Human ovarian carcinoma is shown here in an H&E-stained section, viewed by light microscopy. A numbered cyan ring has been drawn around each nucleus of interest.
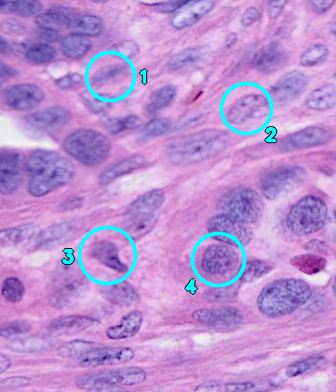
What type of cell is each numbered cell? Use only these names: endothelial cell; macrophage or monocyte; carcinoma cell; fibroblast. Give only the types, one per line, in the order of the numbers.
fibroblast
fibroblast
macrophage or monocyte
carcinoma cell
